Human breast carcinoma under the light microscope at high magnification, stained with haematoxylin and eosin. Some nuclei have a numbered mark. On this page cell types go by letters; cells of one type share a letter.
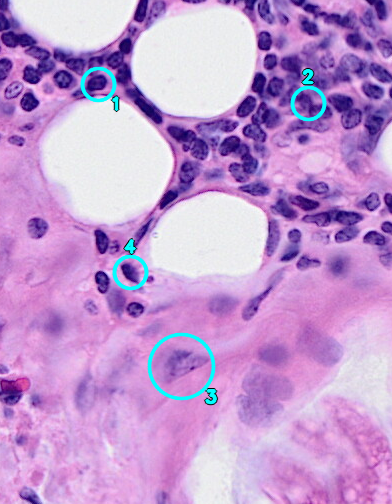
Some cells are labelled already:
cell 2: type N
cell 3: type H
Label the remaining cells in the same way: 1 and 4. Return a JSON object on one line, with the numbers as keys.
{"1": "type N", "4": "type N"}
